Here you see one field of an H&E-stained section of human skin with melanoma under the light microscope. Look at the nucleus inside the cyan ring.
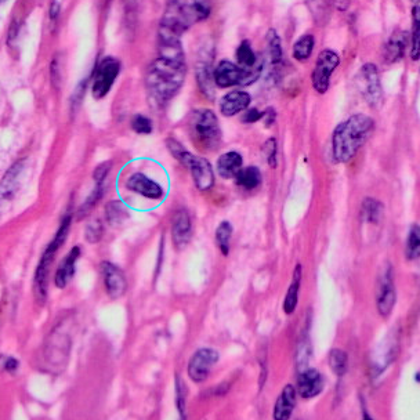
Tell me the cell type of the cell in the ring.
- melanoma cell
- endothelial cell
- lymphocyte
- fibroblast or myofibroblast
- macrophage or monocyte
lymphocyte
